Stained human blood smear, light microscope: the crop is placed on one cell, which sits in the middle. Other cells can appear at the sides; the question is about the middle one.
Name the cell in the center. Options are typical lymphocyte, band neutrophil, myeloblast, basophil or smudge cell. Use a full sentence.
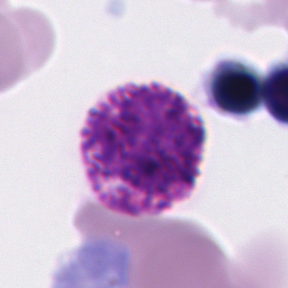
The cell around which this crop is centred is a basophil.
